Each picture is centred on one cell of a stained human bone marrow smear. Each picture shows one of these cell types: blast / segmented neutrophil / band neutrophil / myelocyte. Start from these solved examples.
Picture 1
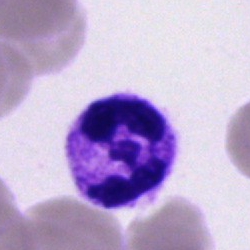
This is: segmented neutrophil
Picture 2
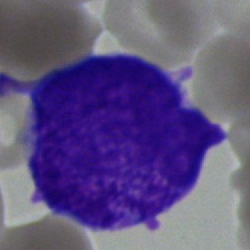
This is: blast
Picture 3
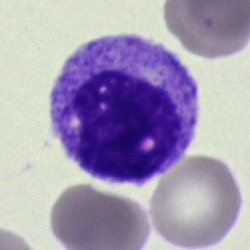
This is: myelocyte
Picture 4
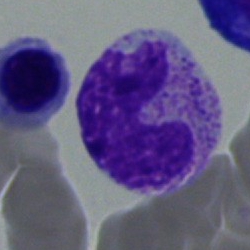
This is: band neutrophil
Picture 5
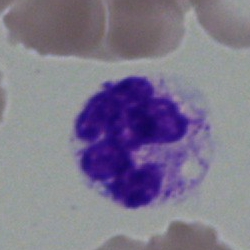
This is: segmented neutrophil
